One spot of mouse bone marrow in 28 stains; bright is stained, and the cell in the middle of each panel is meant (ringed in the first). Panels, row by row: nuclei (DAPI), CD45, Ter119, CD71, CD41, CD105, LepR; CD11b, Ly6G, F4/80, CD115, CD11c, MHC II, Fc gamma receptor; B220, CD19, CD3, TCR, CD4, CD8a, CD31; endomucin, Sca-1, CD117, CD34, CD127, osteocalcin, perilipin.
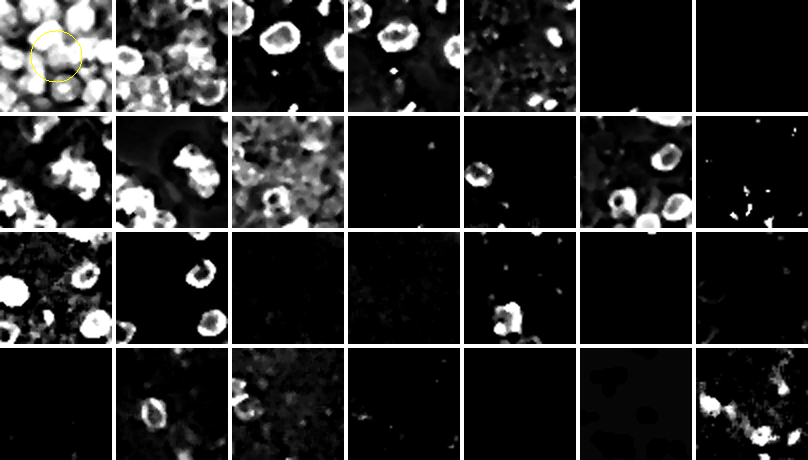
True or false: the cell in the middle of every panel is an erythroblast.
True.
